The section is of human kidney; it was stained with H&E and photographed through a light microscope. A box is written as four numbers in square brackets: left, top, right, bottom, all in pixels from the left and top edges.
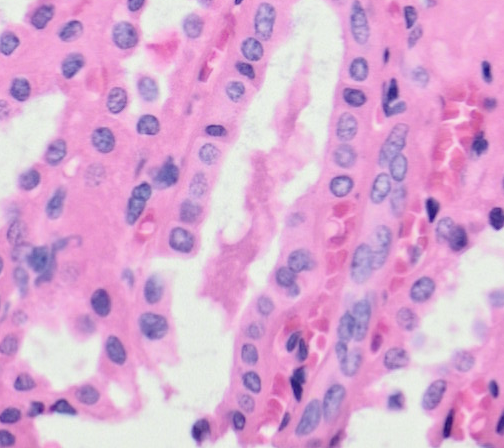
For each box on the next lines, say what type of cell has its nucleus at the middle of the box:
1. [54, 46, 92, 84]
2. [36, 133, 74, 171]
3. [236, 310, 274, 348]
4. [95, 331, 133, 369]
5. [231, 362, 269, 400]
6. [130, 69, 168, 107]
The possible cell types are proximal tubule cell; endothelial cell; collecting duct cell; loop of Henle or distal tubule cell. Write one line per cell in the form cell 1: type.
cell 1: loop of Henle or distal tubule cell
cell 2: loop of Henle or distal tubule cell
cell 3: collecting duct cell
cell 4: loop of Henle or distal tubule cell
cell 5: collecting duct cell
cell 6: loop of Henle or distal tubule cell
